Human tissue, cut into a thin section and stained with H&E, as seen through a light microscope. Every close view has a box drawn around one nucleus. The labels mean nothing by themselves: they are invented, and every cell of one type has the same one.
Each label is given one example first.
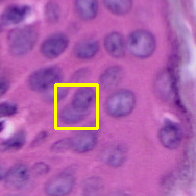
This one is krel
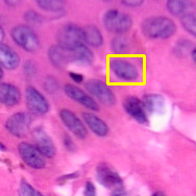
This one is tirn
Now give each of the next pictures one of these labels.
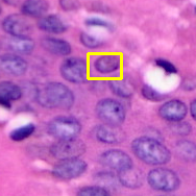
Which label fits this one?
tirn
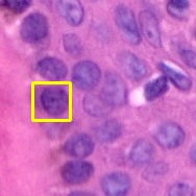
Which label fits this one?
tirn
